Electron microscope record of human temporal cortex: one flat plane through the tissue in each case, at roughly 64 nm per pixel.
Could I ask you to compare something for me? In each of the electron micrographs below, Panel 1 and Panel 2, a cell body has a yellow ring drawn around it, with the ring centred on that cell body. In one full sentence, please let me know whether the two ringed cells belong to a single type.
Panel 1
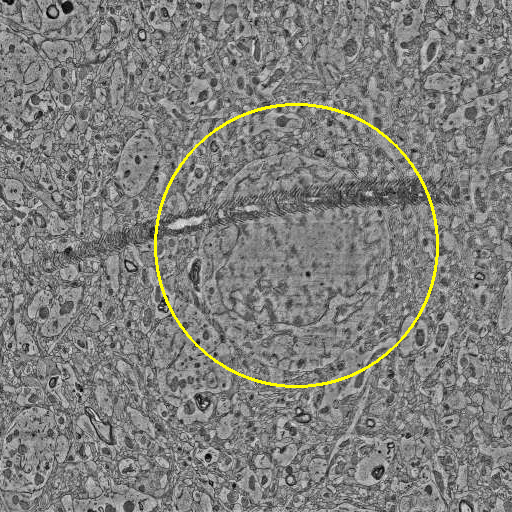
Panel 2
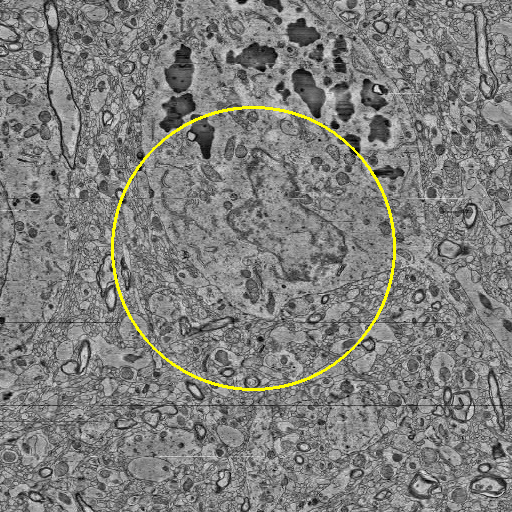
Yes, the two cells at the centres of the rings are of one type.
